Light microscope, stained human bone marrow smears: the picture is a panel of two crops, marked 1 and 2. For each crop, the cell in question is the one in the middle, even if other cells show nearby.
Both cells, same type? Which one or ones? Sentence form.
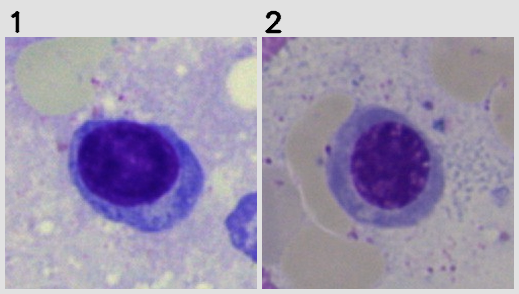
No, crop 1 is to be identified as a lymphocyte and crop 2 as an erythroblast.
